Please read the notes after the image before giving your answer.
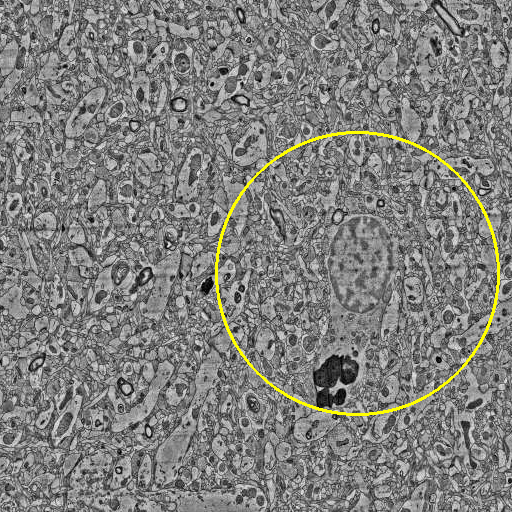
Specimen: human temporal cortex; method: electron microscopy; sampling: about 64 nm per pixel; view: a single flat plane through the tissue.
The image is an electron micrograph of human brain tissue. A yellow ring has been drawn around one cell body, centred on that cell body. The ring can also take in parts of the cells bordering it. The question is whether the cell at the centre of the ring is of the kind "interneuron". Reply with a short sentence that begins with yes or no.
No, the cell at the centre is of another kind.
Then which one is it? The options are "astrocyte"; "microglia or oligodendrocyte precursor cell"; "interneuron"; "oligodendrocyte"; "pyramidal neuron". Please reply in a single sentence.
What the ring encloses here is an oligodendrocyte.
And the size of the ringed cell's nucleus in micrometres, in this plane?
The nucleus of the ringed cell is clearly longer than it is wide in this plane, about 6 by 4 micrometres.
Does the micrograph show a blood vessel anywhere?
No.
